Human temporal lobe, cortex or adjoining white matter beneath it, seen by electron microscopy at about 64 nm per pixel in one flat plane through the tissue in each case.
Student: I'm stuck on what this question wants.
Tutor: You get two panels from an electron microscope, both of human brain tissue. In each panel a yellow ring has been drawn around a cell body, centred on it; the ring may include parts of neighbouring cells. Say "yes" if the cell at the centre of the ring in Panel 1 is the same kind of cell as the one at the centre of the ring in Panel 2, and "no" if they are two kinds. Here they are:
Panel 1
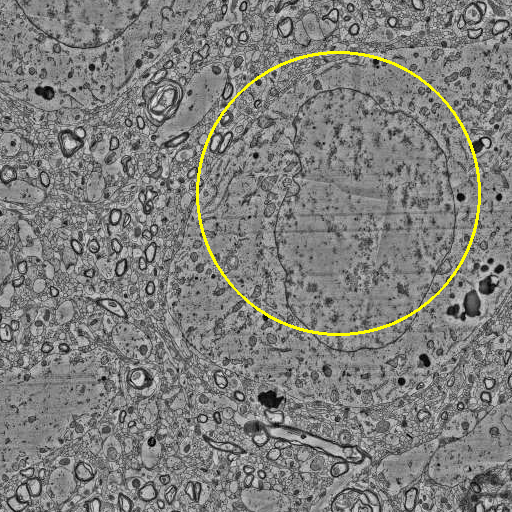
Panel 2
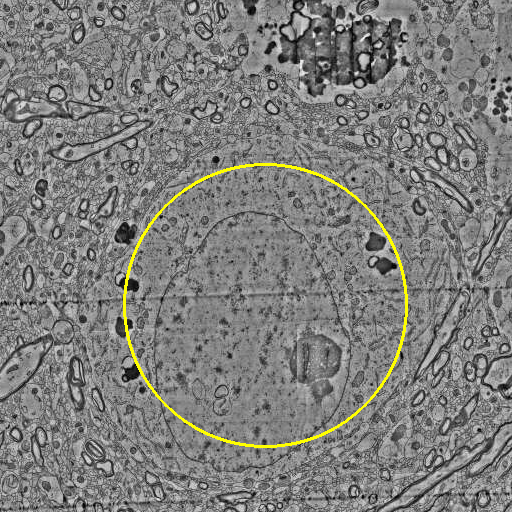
yes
